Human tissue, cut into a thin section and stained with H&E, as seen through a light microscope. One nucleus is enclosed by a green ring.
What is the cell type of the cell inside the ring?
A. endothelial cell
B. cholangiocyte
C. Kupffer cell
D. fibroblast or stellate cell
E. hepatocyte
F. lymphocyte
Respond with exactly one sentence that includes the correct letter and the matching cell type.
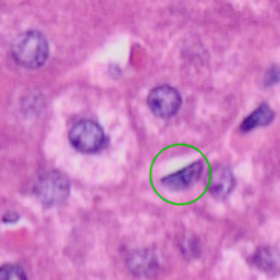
Option A is the right one; the cell inside the ring is an endothelial cell.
